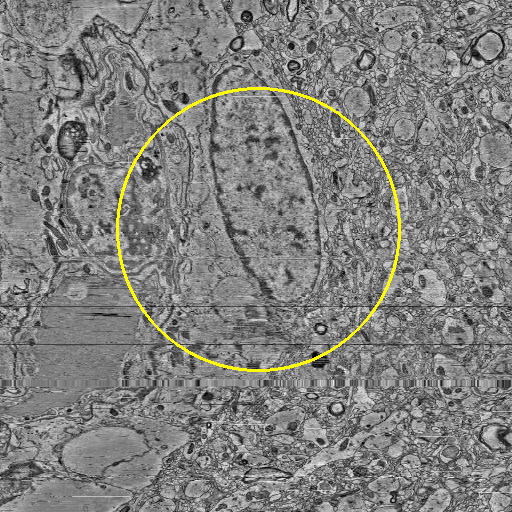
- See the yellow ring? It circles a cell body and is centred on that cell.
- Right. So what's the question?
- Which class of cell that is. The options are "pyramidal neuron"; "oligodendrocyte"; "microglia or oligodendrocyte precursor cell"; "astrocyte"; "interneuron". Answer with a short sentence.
The centre of the ring holds a microglial cell or oligodendrocyte precursor cell.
